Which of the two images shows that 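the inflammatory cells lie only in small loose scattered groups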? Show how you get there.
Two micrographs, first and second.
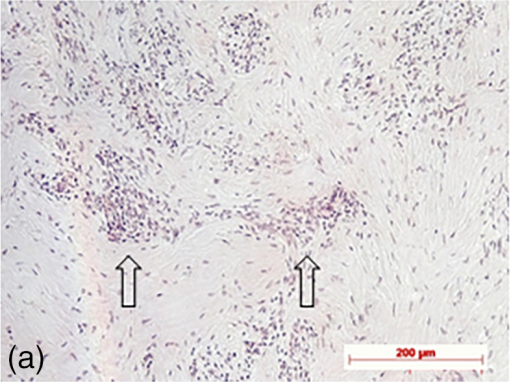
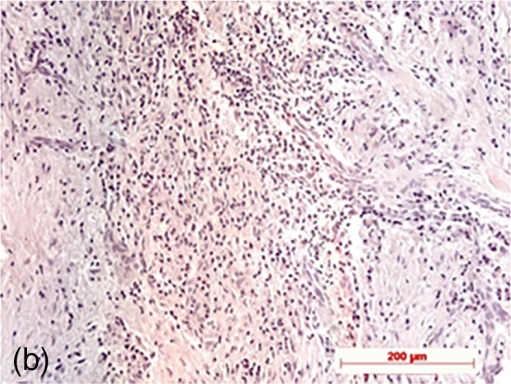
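Second image: small round nuclei are packed densely across the center of the field. First image: small groups of round nuclei lie scattered in mostly pale fibrous tissue. The answer: the first image.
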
